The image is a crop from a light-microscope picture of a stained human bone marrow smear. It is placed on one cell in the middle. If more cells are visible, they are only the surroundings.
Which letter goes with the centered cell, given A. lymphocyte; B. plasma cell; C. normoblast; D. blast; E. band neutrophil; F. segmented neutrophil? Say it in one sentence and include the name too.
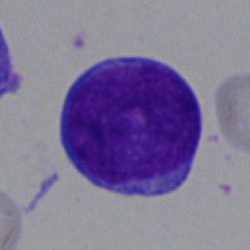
Option D is the correct option, with the middle cell being a blast.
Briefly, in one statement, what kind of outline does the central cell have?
A smooth, projection-free outline is what this cell has.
